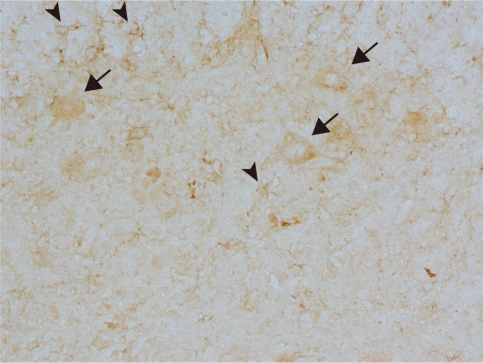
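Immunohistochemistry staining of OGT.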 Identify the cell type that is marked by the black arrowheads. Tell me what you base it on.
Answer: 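The arrowheads point to small, darker brown cells. These cells are far smaller than the large cell bodies nearby.
Answer: glial cells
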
